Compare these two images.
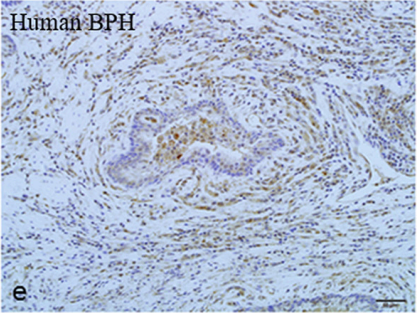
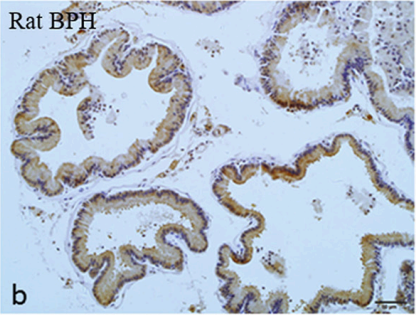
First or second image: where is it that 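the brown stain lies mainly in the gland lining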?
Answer: The second image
